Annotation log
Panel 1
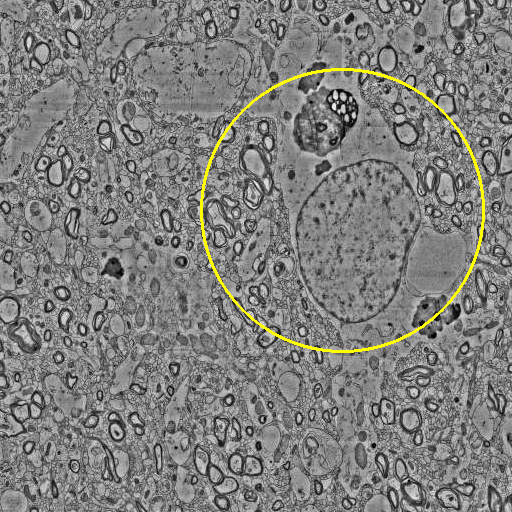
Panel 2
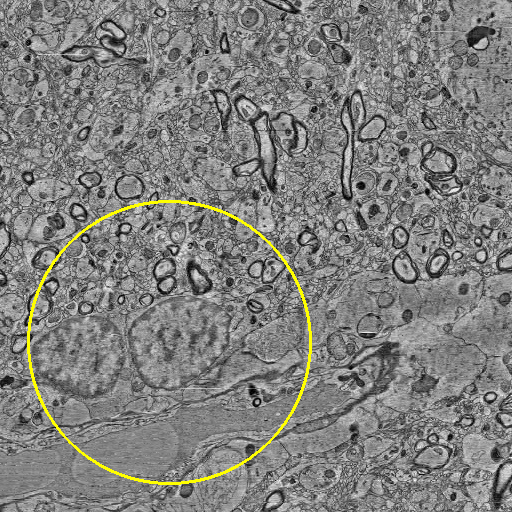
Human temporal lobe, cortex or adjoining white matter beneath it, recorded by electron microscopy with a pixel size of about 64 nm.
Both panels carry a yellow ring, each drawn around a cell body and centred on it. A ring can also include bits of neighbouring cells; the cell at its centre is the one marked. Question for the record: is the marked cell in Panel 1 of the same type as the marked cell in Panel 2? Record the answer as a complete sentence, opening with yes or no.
No, the marked cells in Panel 1 and Panel 2 are of two types.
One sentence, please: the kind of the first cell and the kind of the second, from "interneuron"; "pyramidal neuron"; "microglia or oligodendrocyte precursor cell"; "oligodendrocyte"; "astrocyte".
The ring in the first picture surrounds an astrocyte, and the ring in the second surrounds an oligodendrocyte.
